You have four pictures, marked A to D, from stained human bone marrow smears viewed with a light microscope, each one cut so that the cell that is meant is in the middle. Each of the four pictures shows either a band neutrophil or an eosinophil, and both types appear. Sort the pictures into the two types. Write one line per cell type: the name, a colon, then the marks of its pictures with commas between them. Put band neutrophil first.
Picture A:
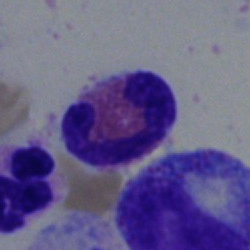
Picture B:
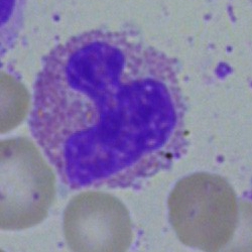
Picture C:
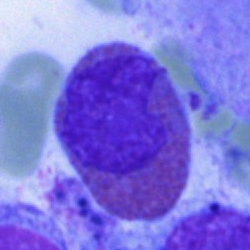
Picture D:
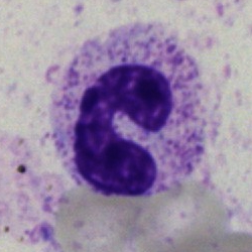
band neutrophil: D
eosinophil: A, B, C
